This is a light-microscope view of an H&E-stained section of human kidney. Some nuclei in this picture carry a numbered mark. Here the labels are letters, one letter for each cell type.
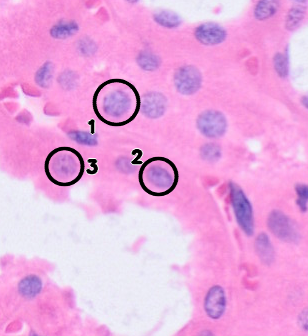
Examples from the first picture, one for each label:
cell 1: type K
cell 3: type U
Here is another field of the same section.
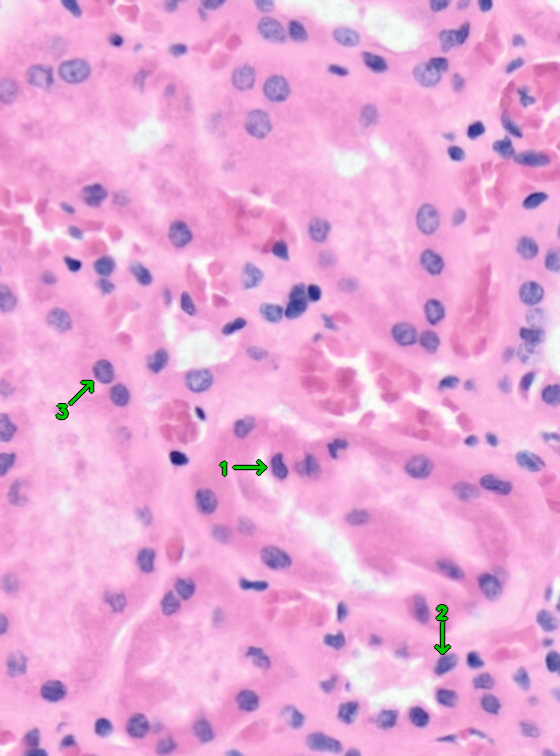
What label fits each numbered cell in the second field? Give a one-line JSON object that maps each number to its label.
{"1": "type U", "2": "type K", "3": "type U"}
